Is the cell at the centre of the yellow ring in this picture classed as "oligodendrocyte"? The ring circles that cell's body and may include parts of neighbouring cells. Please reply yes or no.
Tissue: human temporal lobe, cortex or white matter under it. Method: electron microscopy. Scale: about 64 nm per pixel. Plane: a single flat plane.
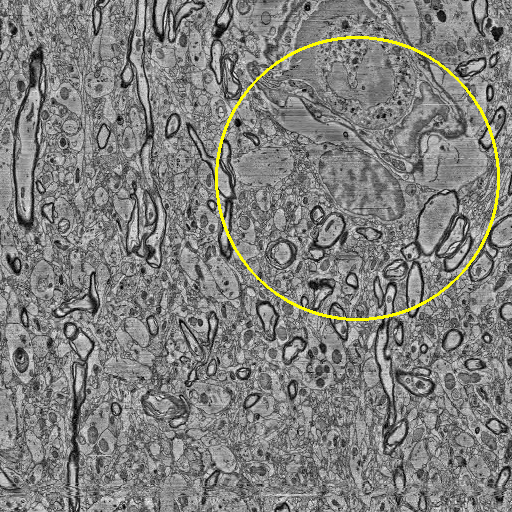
Yes, it is of that kind.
